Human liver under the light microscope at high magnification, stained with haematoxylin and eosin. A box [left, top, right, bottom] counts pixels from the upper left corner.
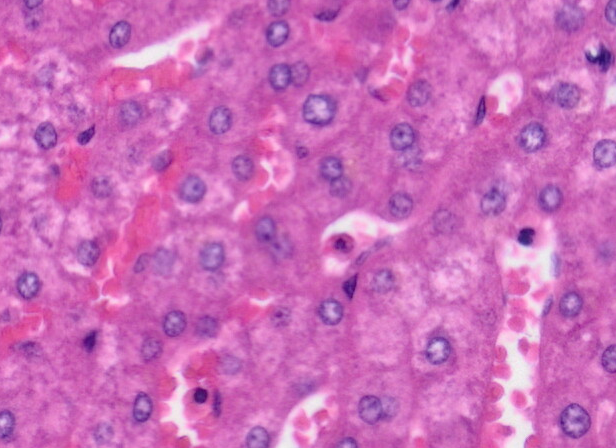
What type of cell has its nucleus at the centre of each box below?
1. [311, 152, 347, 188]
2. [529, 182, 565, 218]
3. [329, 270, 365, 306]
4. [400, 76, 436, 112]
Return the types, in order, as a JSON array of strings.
["hepatocyte", "hepatocyte", "fibroblast or stellate cell", "hepatocyte"]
